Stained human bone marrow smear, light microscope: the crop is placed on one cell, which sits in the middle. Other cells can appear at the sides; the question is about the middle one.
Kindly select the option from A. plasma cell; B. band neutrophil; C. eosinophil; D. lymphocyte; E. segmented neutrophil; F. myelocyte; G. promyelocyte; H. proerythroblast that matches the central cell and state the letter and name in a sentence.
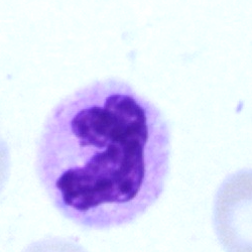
Identification: the cell in the middle is a segmented neutrophil, matching option E.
